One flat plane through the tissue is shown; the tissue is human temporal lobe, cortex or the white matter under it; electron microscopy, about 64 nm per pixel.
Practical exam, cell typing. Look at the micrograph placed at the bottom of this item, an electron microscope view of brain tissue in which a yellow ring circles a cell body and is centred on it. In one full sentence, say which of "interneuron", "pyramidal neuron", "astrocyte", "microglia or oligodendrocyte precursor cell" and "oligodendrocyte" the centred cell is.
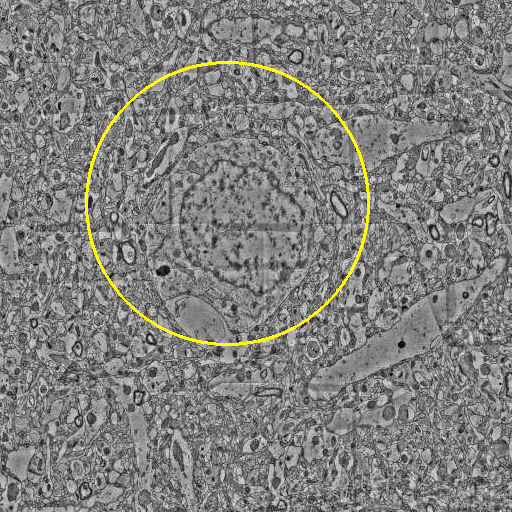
Given the options, an interneuron fits the cell whose body the yellow ring is centred on.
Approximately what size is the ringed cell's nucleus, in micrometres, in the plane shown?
Roughly 8 micrometres across, measured in this plane.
